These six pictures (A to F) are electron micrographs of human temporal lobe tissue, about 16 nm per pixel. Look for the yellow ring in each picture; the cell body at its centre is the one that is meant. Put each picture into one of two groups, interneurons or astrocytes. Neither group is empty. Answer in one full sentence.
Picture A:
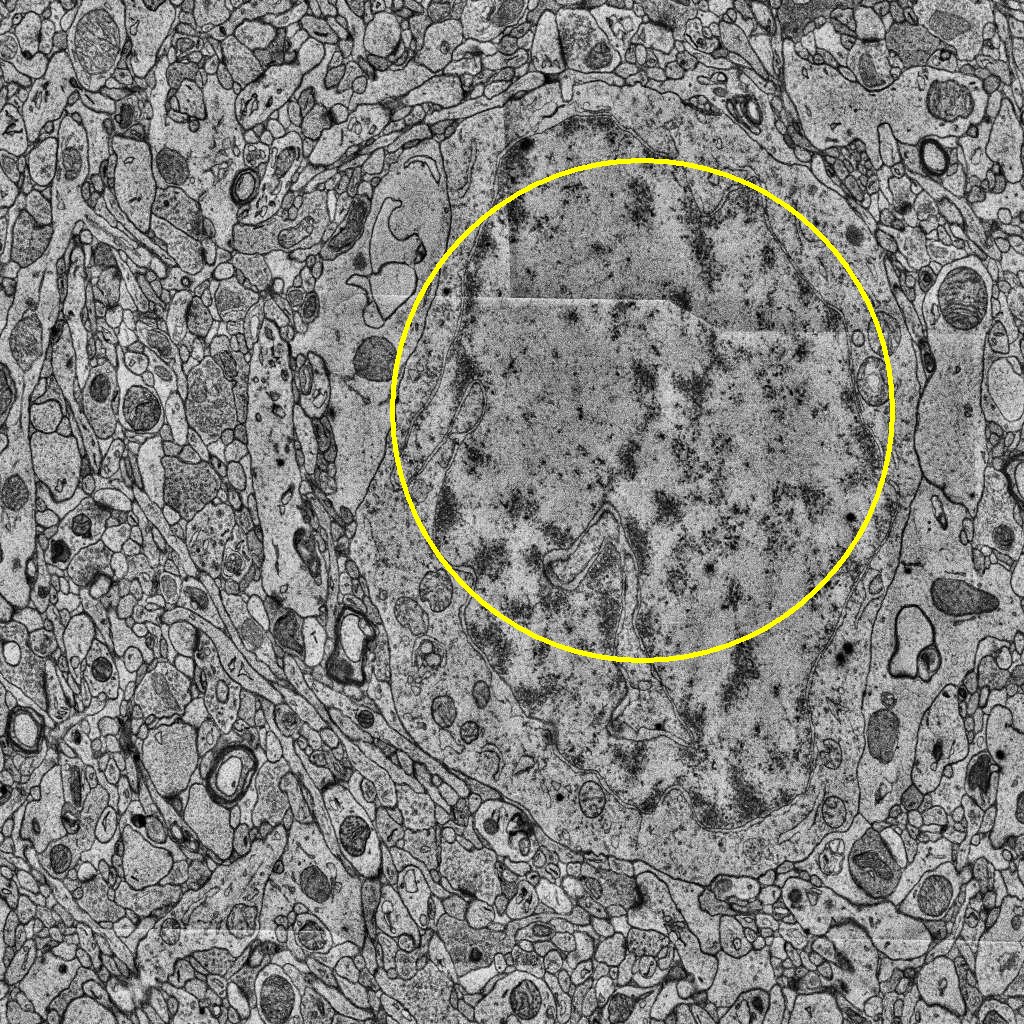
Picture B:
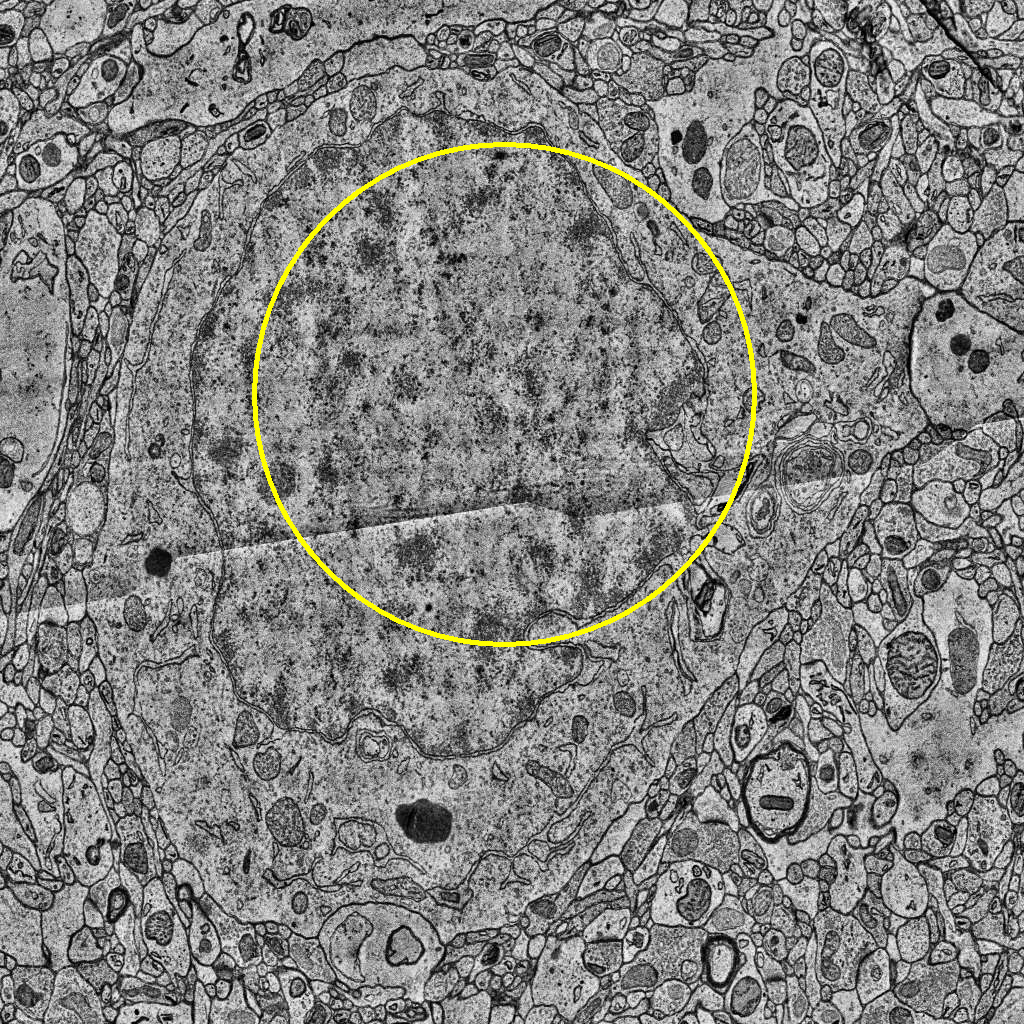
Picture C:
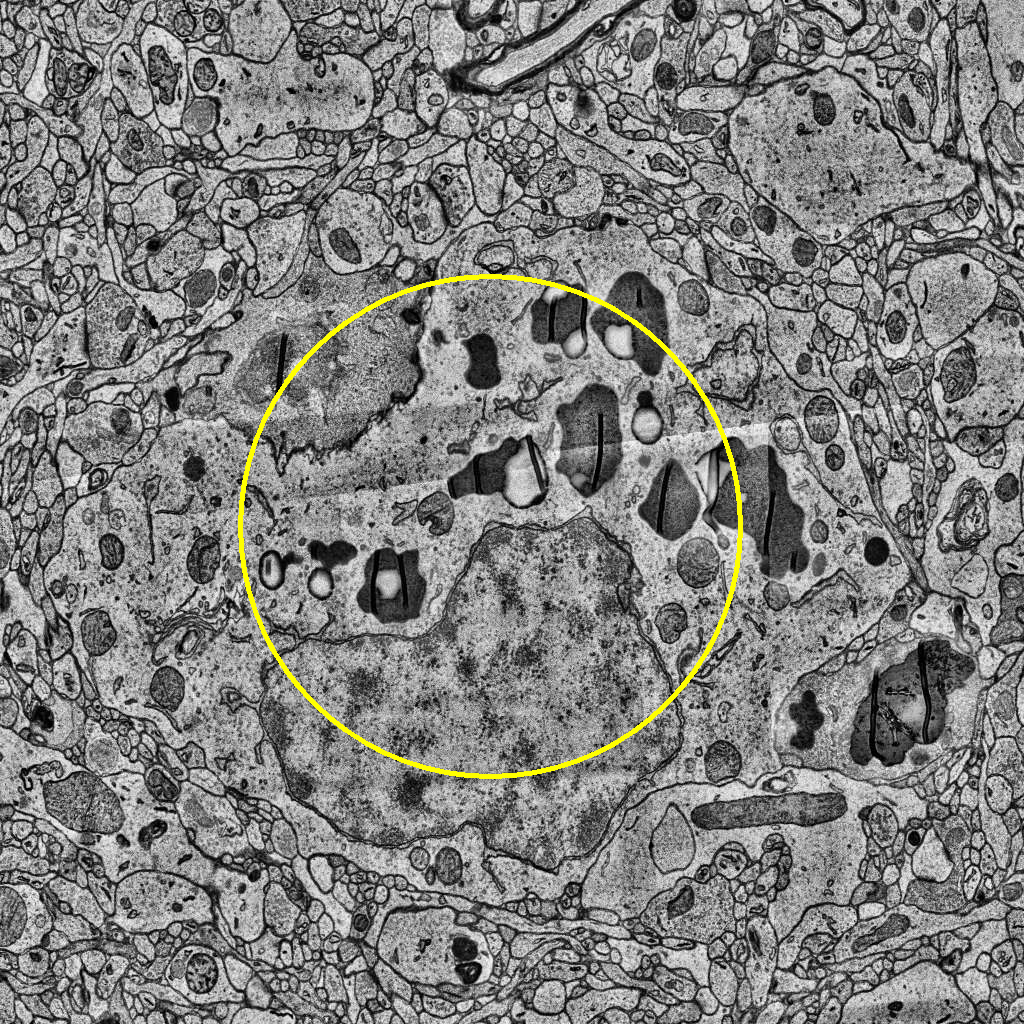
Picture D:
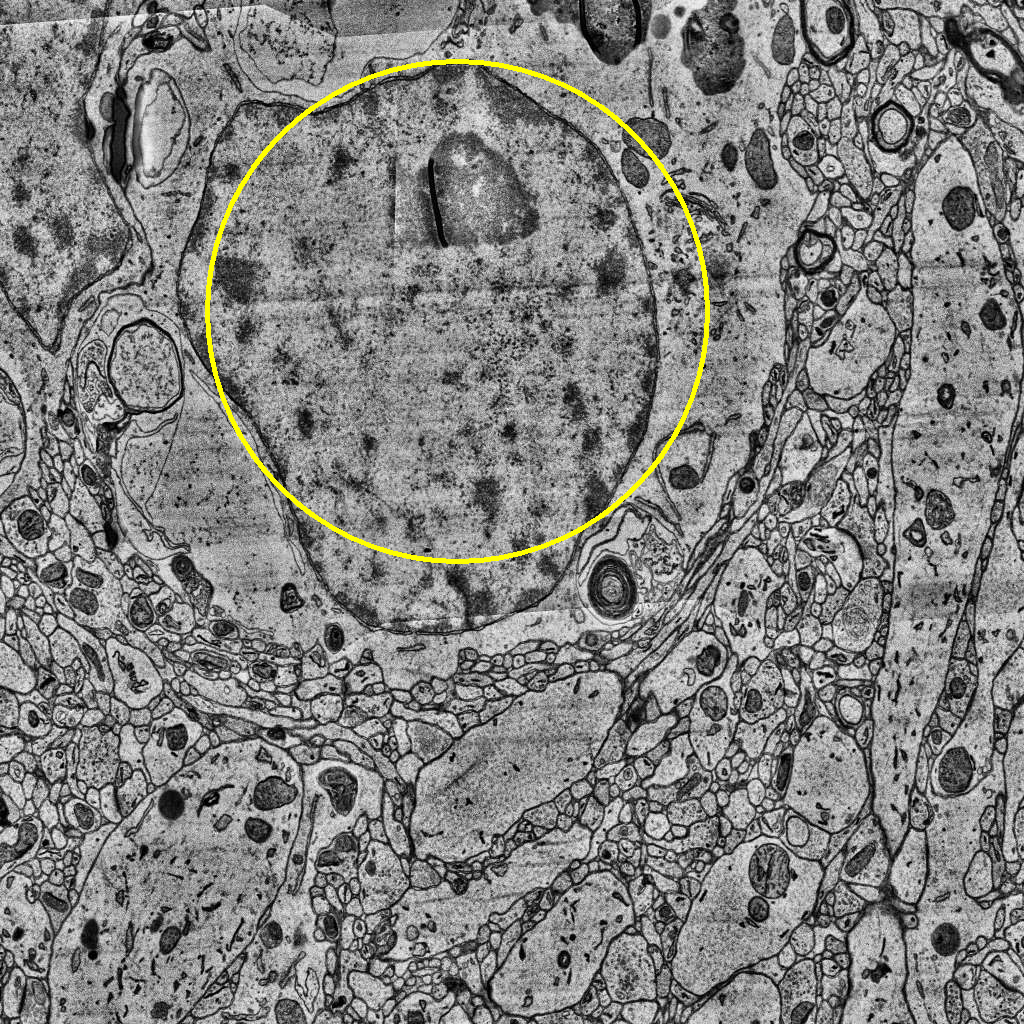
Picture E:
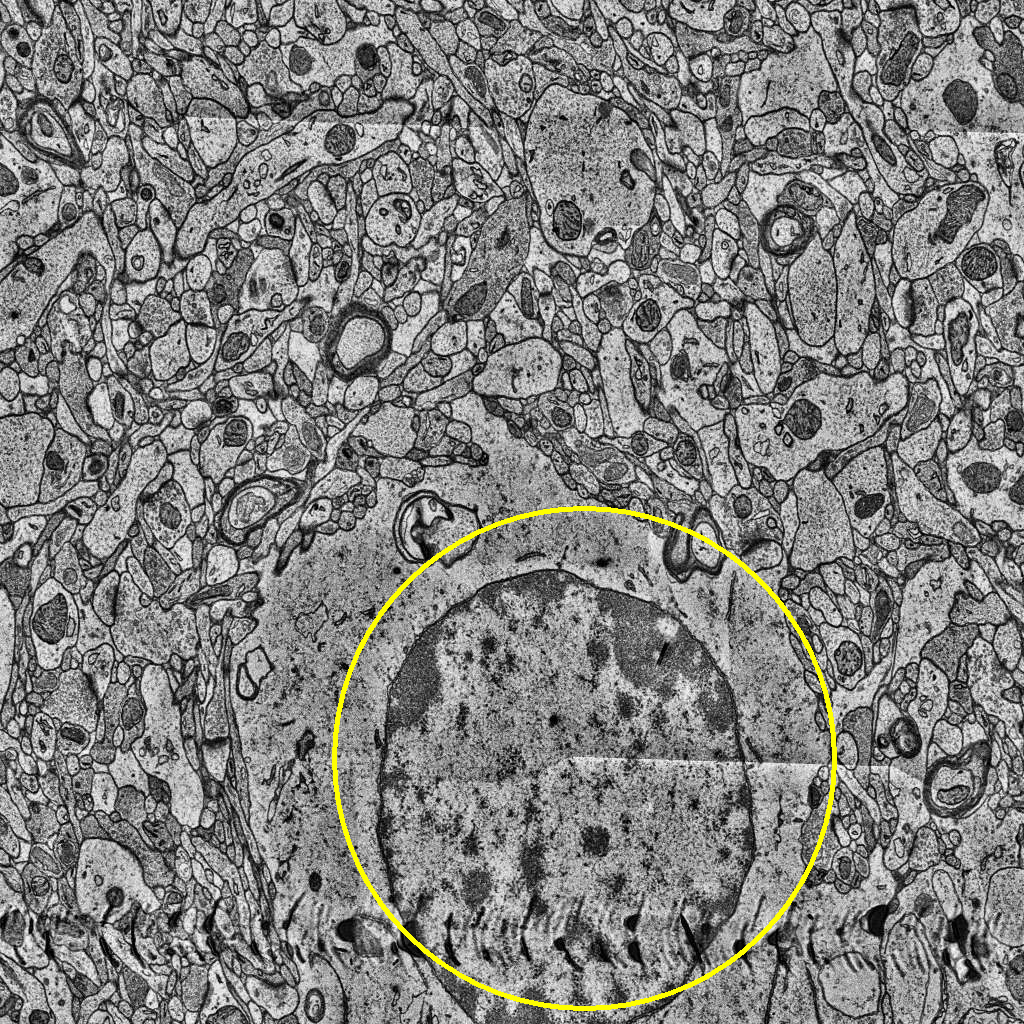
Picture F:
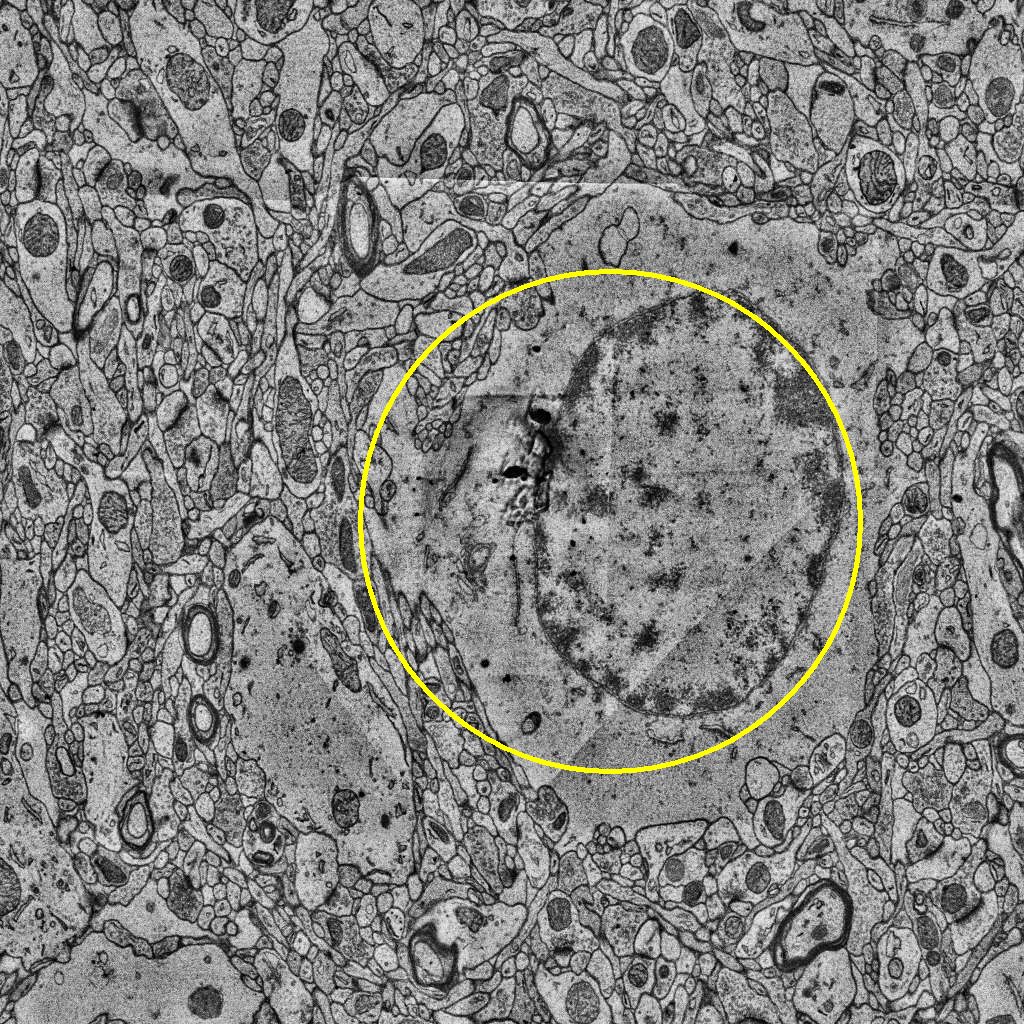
Pictures A, B and C show interneurons; pictures D, E and F show astrocytes.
